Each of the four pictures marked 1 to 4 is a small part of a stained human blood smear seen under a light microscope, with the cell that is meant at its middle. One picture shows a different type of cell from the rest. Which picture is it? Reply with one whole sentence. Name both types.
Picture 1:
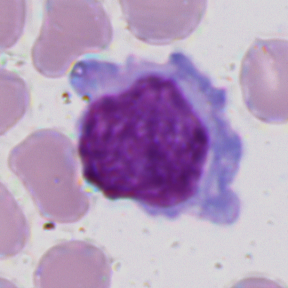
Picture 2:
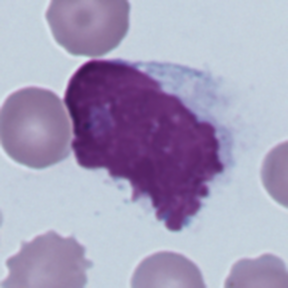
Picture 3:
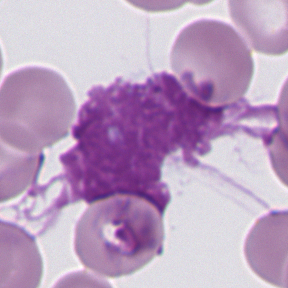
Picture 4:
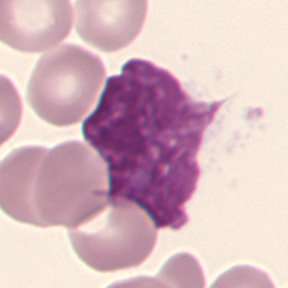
Unlike the rest, which show smudge cells, picture 1 shows a plasma cell.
